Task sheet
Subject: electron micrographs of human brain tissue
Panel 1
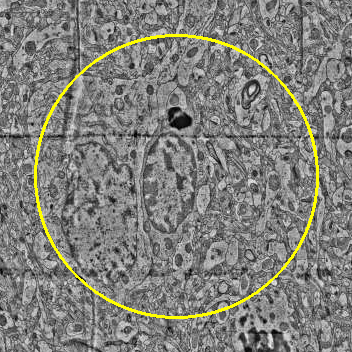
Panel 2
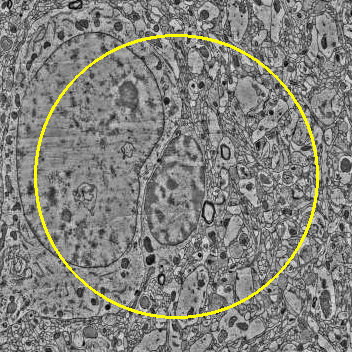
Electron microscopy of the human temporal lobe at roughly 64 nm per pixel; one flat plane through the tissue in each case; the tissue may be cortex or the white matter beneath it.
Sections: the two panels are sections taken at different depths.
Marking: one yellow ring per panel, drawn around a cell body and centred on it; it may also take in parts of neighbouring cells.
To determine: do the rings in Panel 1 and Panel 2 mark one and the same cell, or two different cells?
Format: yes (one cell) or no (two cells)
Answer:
no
